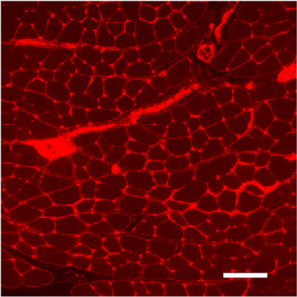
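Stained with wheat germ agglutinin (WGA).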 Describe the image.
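Transverse section of skeletal muscle with muscle fibers cut across as small polygonal profiles outlined in thin red lines. Fiber interiors are dark and uniform, and the fibers lie tightly packed. A broad bright red band of connective tissue crosses the field diagonally, with smaller red patches between fiber groups. Dark elongated gaps run through parts of the section.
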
